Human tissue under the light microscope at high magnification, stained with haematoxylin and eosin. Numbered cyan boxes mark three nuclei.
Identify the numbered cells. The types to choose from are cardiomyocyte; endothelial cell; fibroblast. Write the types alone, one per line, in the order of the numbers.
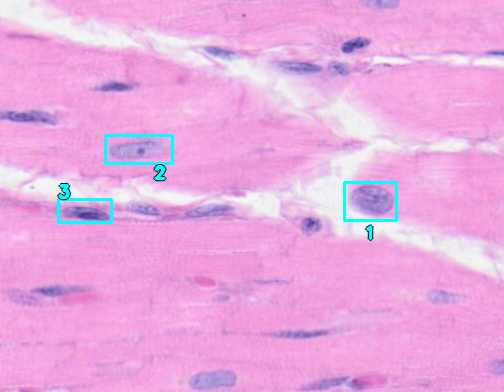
cardiomyocyte
cardiomyocyte
endothelial cell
